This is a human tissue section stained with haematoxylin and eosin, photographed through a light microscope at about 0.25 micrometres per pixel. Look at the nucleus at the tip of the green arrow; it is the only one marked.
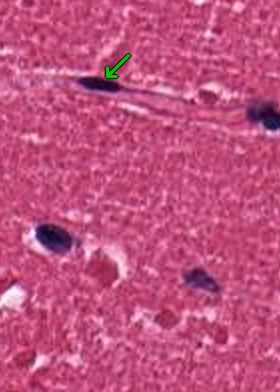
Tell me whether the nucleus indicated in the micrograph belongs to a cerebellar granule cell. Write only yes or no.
no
